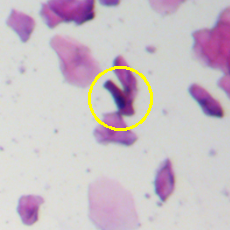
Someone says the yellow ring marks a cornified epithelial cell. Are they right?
They are right: it is a cornified epithelial cell.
